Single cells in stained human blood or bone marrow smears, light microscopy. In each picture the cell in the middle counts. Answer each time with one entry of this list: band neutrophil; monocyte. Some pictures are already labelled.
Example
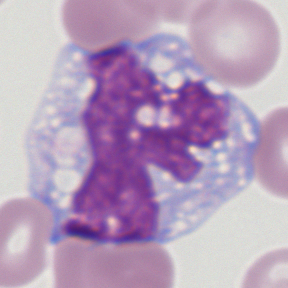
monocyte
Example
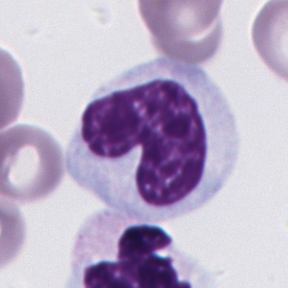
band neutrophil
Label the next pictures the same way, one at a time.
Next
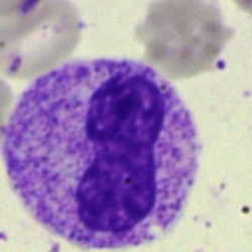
band neutrophil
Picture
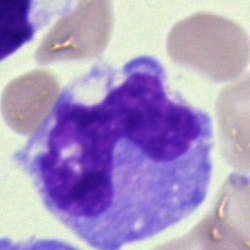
monocyte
